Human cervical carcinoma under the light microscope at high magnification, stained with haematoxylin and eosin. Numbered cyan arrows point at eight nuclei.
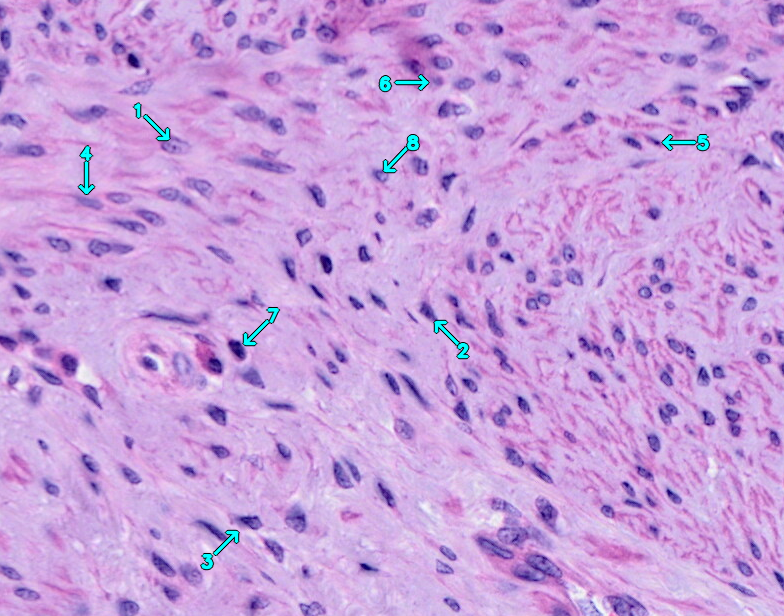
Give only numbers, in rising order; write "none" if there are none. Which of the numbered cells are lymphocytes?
7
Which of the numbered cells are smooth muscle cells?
1, 4, 5, 6, 8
